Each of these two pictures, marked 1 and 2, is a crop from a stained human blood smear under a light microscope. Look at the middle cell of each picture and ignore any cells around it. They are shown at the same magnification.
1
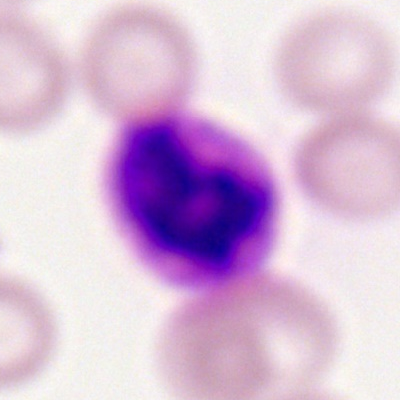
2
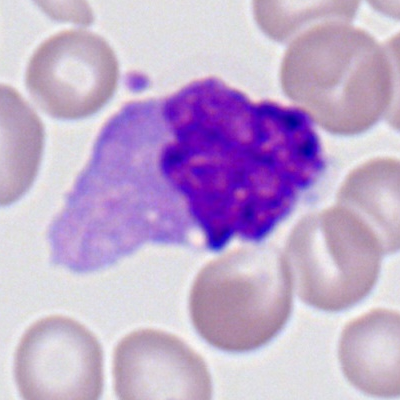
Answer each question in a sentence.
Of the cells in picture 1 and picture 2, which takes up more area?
It is the cell in picture 2, about 1.5 times as large in area as the cell in picture 1.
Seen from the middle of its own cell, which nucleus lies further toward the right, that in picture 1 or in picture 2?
In picture 2 the nucleus is shifted more toward the right.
